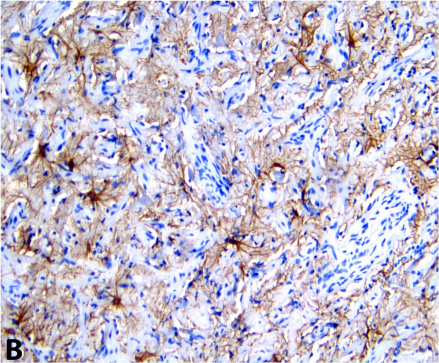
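The stained cells are star-shaped, with a small body and many thin radiating processes. Their processes interweave into a loose brown meshwork across much of the field. Between them lie unstained elongated and ovoid blue nuclei in a pale matrix. Some areas of the field contain few brown processes and mainly unstained cells.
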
